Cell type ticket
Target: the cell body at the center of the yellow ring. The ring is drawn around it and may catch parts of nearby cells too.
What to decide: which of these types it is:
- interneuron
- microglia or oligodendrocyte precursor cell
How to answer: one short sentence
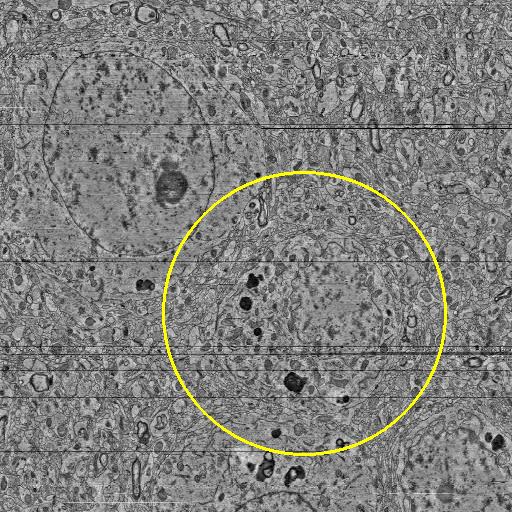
The cell at the center of the ring is an interneuron.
